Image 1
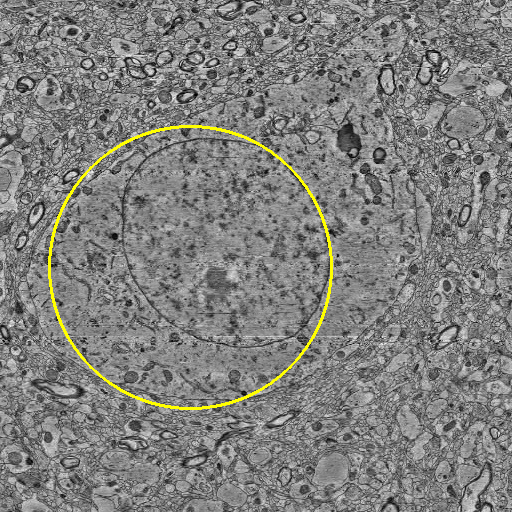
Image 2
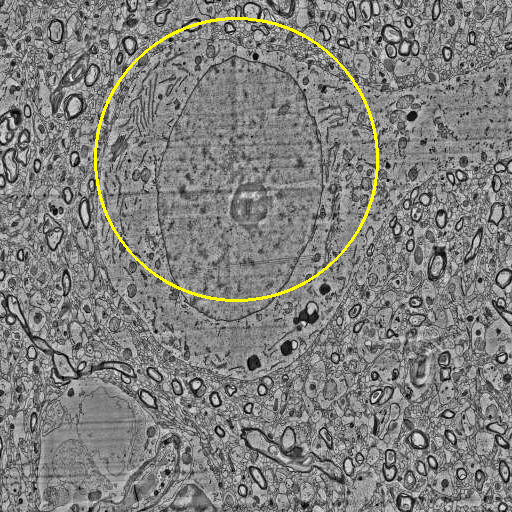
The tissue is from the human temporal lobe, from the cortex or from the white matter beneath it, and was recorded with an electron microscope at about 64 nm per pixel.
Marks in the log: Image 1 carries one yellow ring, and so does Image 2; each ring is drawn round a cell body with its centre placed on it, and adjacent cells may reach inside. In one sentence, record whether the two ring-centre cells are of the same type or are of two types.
The two cells at the ring centres, one in each image, are of the same type.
